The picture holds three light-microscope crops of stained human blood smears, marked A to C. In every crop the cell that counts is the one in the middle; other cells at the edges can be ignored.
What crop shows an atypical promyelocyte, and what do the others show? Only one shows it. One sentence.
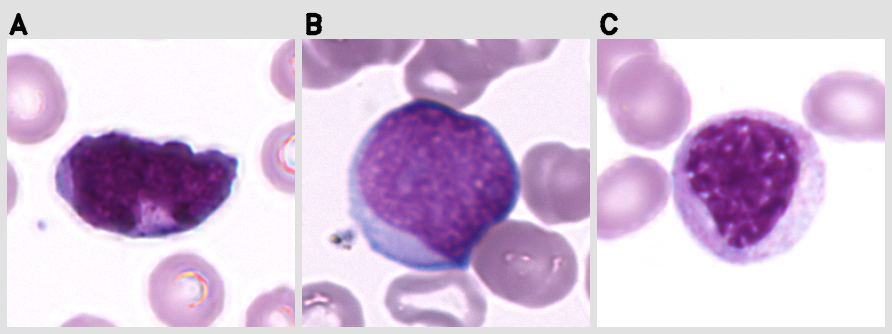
Crop A corresponds to an atypical promyelocyte, while crop B is a myeloblast and crop C is a metamyelocyte.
